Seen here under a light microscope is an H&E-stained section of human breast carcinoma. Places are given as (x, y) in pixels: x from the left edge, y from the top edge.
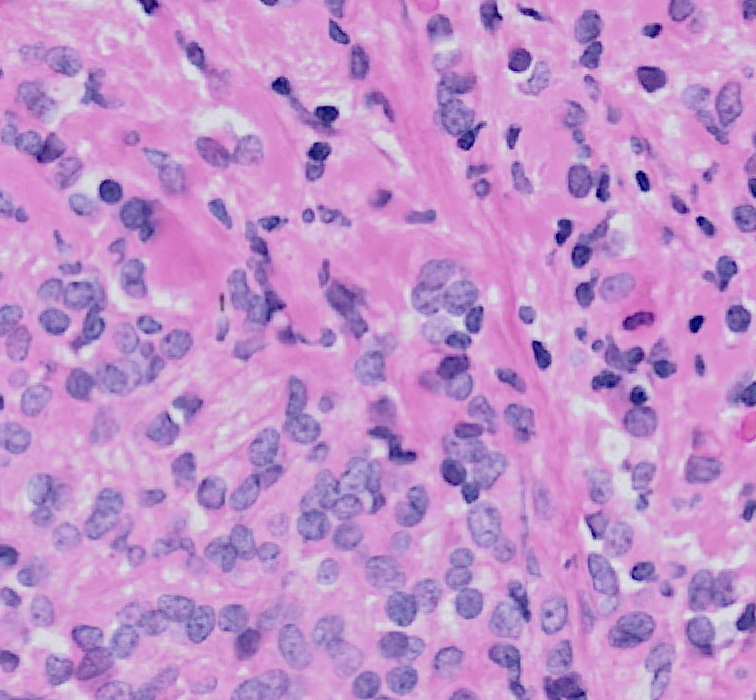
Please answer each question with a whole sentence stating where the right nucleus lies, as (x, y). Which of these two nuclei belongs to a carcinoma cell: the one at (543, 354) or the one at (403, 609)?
The nucleus of a carcinoma cell lies at (403, 609), not at the other position.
